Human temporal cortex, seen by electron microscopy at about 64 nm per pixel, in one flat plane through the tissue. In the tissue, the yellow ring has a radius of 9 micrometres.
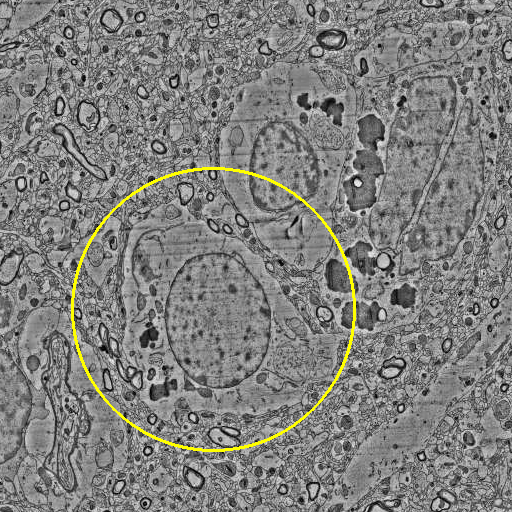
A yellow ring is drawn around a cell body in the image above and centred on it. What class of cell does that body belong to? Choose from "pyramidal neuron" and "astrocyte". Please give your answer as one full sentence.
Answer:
The yellow ring above is centred on the cell body of an astrocyte.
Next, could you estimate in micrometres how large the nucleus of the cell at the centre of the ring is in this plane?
In this plane, the nucleus of the cell at the centre of the ring measures about 9 by 7 micrometres.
